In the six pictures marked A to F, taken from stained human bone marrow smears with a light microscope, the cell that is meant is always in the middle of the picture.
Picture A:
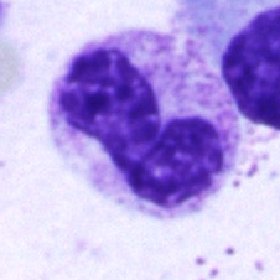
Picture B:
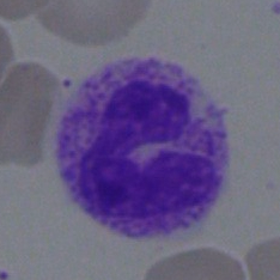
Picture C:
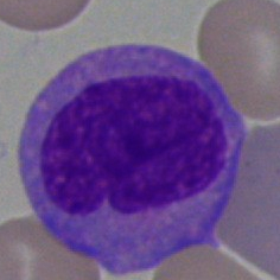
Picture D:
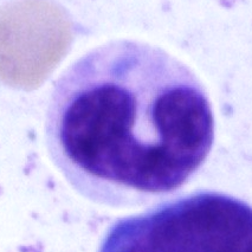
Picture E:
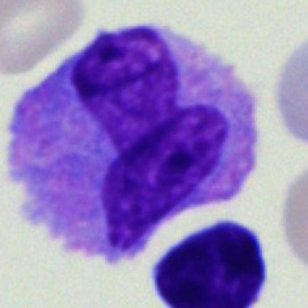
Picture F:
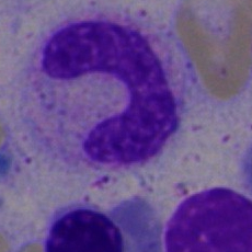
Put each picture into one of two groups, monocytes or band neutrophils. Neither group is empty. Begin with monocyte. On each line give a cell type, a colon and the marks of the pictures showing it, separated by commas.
monocyte: C, E
band neutrophil: A, B, D, F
